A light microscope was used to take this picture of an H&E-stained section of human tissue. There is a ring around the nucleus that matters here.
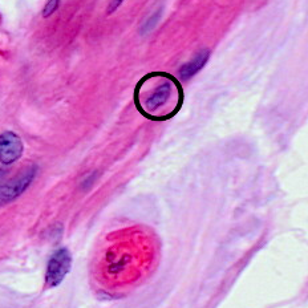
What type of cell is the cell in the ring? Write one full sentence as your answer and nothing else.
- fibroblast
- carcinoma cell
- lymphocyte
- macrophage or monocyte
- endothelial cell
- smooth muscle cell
In the context of this tissue, the cell in the ring is a smooth muscle cell.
